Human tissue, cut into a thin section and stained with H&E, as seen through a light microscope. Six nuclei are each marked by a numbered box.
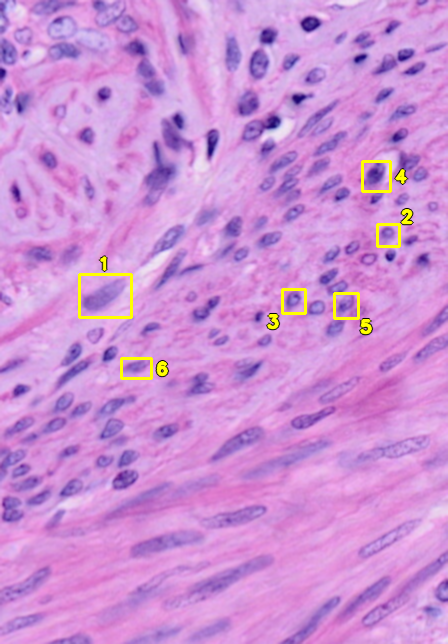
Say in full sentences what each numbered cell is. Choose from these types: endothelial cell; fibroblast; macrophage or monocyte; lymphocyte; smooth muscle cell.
Cell 1 is a fibroblast, cell 2 is a smooth muscle cell, cell 3 is a smooth muscle cell, cell 4 is a lymphocyte, cell 5 is a smooth muscle cell and cell 6 is a smooth muscle cell.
